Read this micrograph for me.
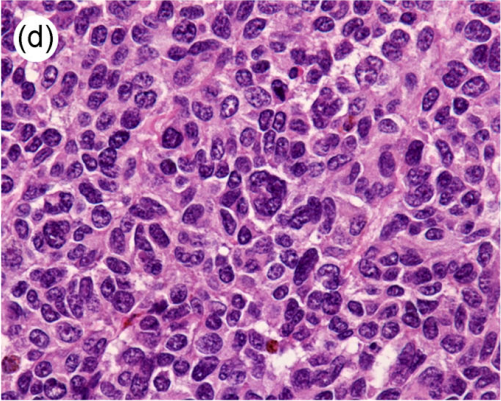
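Densely packed tumor cells with large, irregular, overlapping nuclei of varying size, coarse chromatin and visible nucleoli sit in pale pink cytoplasm that is polygonal to spindled. Near the centre one large cell carries several nuclei.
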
